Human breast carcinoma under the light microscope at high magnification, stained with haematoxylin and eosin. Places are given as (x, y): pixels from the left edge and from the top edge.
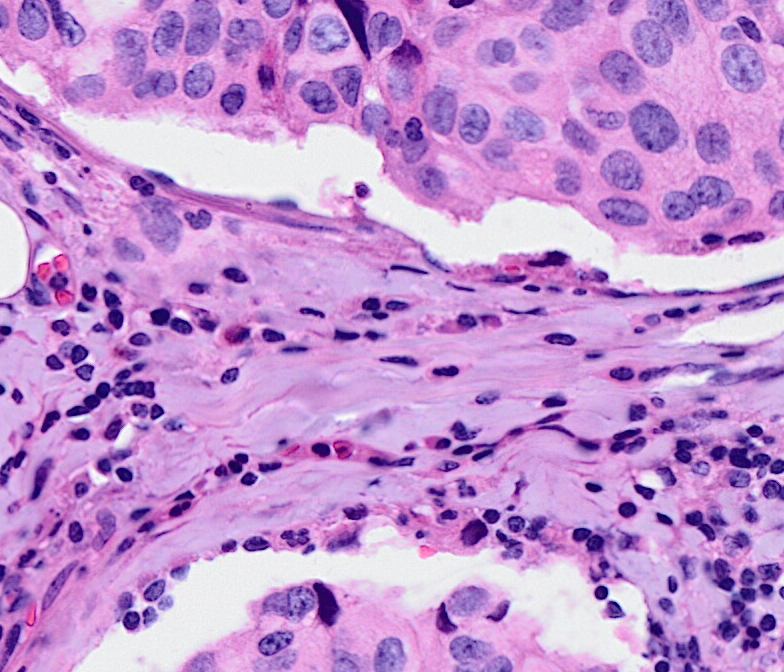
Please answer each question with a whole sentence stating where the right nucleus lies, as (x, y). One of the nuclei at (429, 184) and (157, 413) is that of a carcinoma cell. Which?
The nucleus at (429, 184) belongs to a carcinoma cell, which distinguishes it from the other nucleus.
